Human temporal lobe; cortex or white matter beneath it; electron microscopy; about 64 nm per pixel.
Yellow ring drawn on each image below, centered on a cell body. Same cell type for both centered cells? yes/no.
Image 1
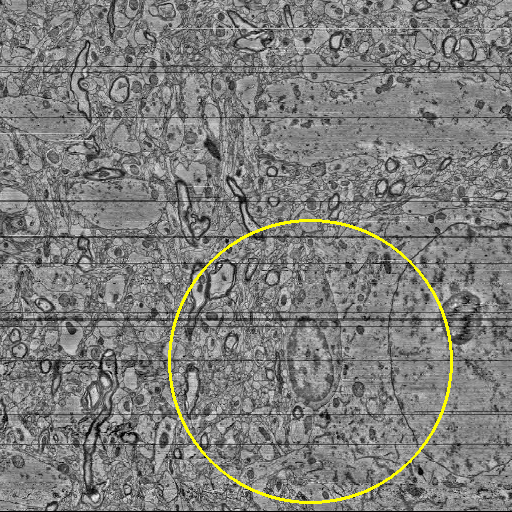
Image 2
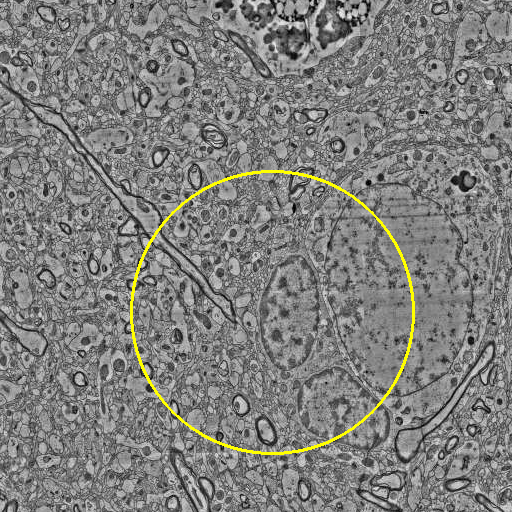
yes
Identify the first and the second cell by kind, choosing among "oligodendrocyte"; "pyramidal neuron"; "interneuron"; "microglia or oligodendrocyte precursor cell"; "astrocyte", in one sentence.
Each of the two pictures has an oligodendrocyte at the ring centre.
